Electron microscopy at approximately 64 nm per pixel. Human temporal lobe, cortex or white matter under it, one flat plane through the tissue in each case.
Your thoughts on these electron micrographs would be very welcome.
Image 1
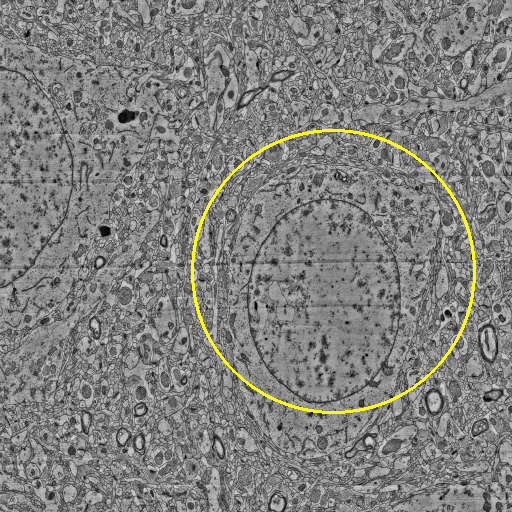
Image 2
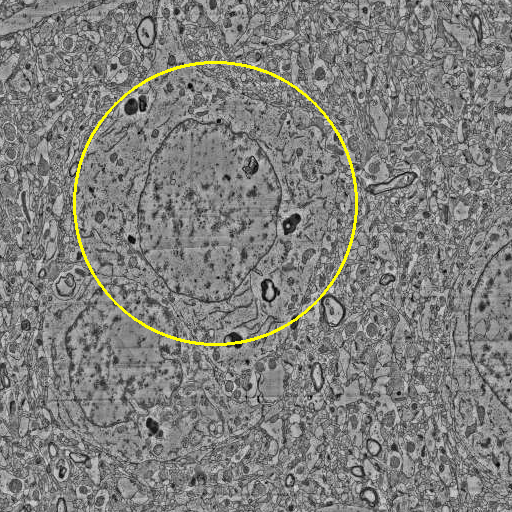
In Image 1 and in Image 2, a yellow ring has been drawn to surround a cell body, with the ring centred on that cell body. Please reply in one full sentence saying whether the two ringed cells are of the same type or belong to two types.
The ringed cells in Image 1 and Image 2 are of the same type.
